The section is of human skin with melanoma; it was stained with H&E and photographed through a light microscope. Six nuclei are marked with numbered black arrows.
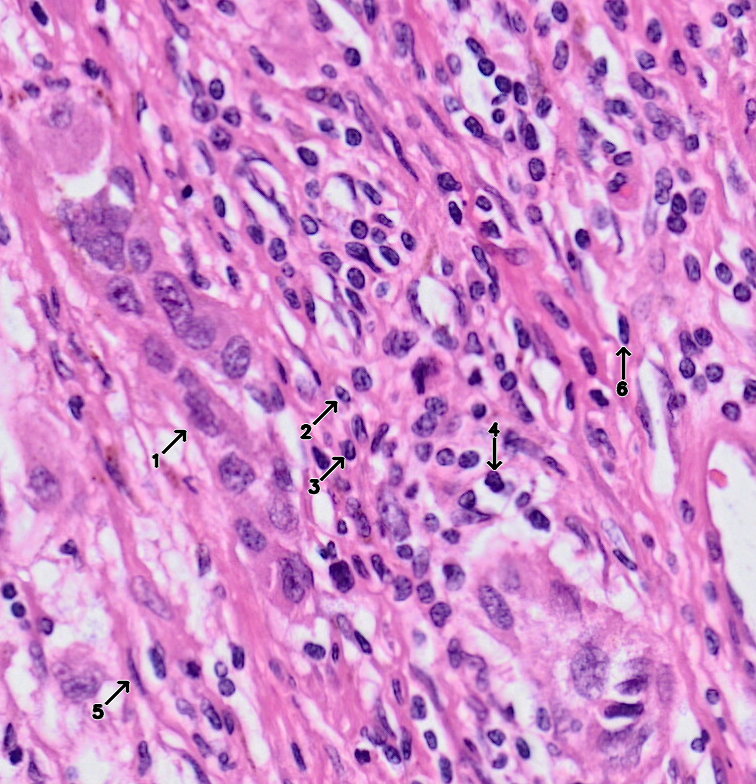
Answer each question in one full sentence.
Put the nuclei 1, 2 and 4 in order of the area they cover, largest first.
Going from the biggest nucleus down to the smallest gives 1, 4, 2.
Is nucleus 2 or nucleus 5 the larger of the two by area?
Number 5 is larger; its area is about 1.5 times that of number 2.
